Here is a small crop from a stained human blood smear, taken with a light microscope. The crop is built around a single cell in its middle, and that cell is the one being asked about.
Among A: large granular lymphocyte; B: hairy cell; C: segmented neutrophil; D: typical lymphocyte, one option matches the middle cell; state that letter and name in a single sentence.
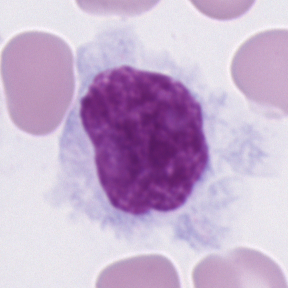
Answer key: option B, the middle cell being a hairy cell.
